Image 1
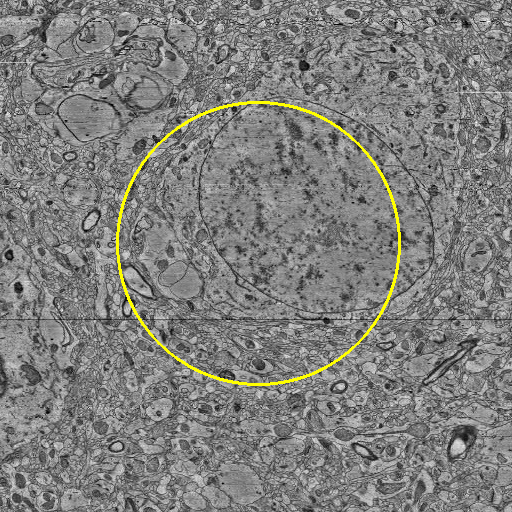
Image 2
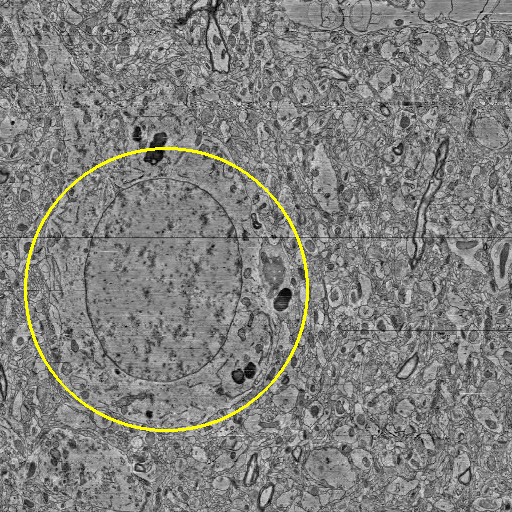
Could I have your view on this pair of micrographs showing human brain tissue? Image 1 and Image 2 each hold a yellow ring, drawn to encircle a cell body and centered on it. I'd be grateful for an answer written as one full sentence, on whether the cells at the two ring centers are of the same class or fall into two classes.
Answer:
The cells at the centers of the two rings are of the same class.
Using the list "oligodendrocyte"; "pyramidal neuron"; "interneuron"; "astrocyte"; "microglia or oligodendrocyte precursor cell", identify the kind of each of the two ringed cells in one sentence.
The cell at the ring centre is a pyramidal neuron in both pictures.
